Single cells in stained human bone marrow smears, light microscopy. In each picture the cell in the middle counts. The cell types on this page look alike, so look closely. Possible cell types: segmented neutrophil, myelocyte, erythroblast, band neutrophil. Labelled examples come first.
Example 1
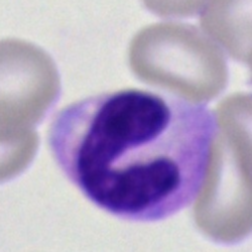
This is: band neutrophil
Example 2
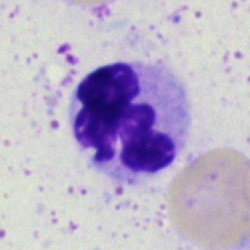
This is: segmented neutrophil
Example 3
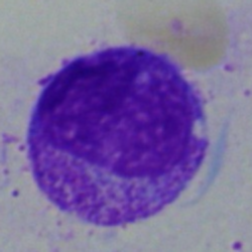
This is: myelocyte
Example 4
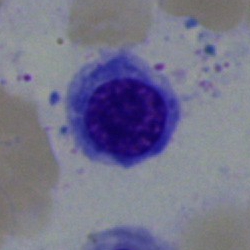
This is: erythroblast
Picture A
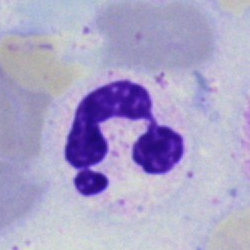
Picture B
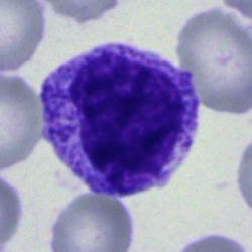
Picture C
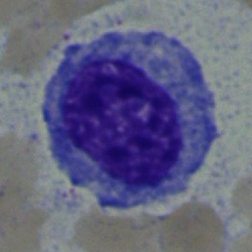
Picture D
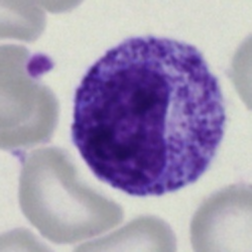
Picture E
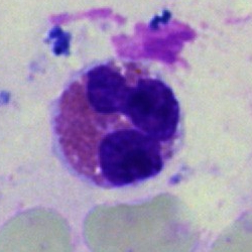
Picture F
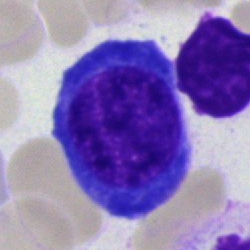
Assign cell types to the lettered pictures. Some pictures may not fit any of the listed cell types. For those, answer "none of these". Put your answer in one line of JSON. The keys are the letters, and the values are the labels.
{"A": "segmented neutrophil", "B": "myelocyte", "C": "myelocyte", "D": "myelocyte", "E": "none of these", "F": "erythroblast"}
